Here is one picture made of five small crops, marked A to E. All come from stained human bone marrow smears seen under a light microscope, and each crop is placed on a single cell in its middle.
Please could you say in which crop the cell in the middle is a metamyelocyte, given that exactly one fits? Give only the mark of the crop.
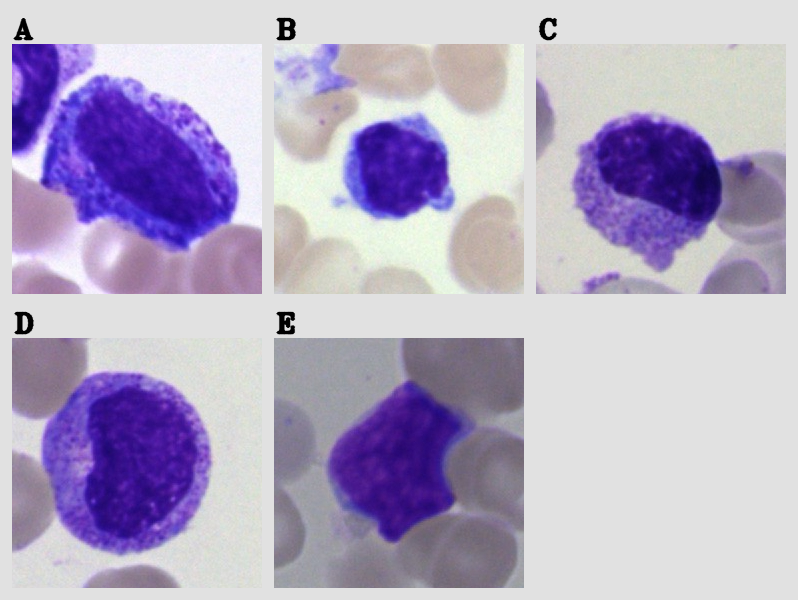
D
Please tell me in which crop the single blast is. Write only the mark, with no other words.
E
